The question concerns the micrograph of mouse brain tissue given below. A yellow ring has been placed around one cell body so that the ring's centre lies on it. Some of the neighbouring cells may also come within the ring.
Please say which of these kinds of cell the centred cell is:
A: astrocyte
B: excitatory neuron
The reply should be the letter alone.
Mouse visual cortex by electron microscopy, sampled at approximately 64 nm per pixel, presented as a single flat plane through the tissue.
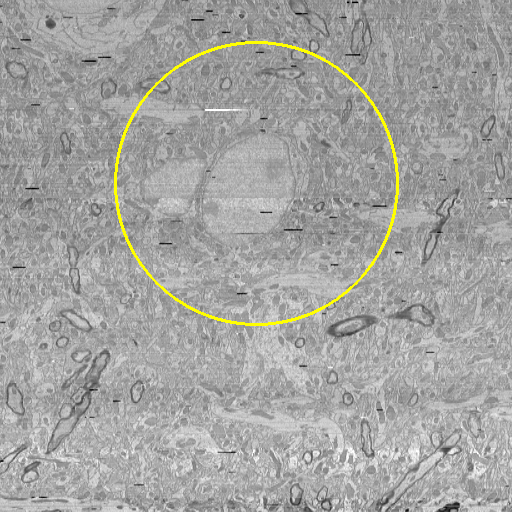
A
